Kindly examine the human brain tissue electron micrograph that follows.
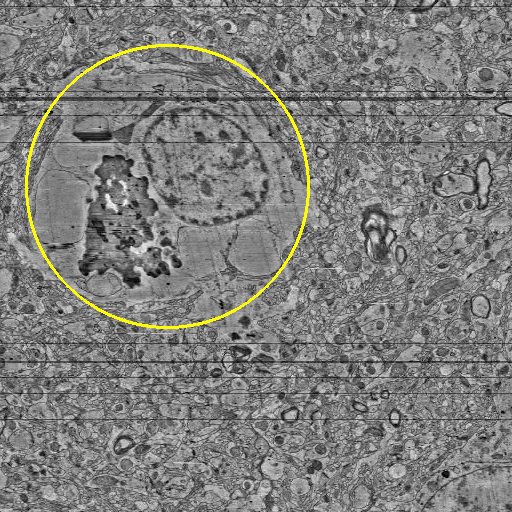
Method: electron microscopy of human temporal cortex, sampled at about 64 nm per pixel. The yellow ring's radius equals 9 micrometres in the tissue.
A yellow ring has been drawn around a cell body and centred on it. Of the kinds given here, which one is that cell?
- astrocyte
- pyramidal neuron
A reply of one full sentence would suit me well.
The micrograph's ringed cell, the one at the ring's centre, is an astrocyte.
